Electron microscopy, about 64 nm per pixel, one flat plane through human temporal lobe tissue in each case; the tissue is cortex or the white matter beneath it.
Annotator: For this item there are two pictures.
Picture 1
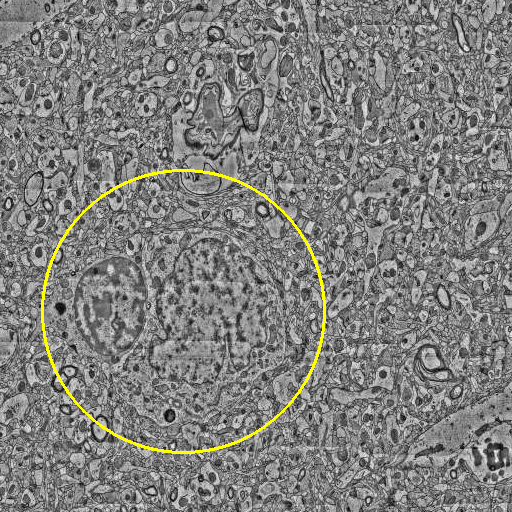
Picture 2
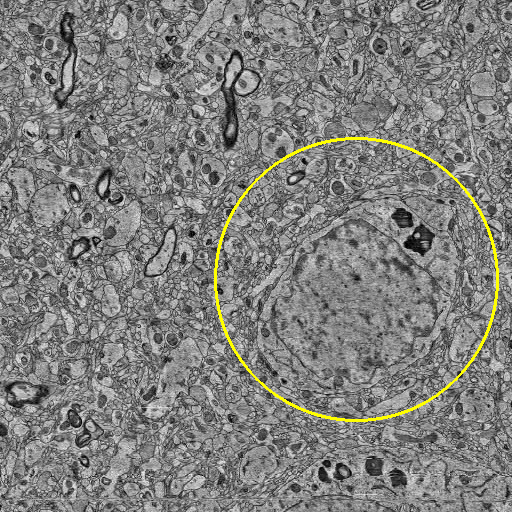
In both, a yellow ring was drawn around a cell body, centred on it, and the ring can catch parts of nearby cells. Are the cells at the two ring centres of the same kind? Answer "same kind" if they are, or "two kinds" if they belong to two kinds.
same kind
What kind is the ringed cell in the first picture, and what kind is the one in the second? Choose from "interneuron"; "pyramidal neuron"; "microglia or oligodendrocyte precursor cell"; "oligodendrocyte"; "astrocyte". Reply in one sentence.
In the first picture and in the second, the ring is centred on an interneuron.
